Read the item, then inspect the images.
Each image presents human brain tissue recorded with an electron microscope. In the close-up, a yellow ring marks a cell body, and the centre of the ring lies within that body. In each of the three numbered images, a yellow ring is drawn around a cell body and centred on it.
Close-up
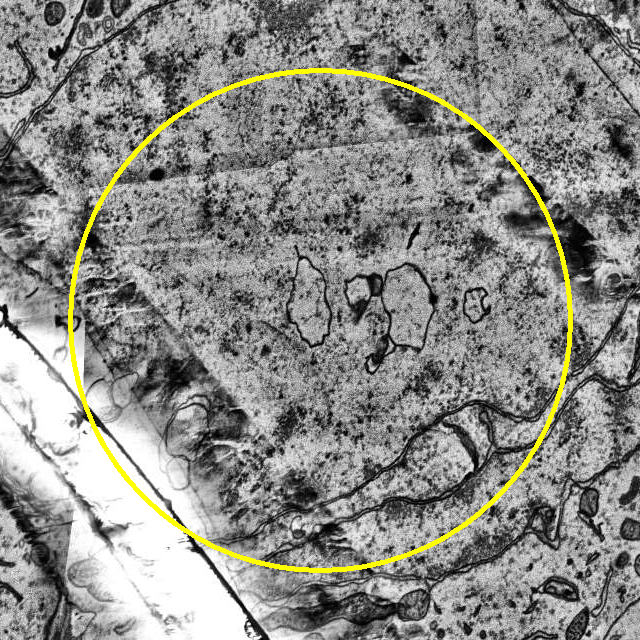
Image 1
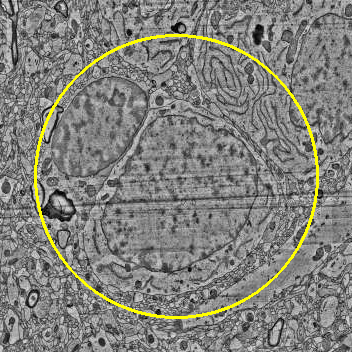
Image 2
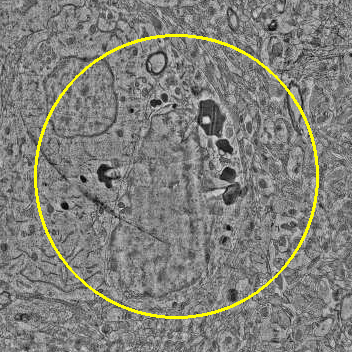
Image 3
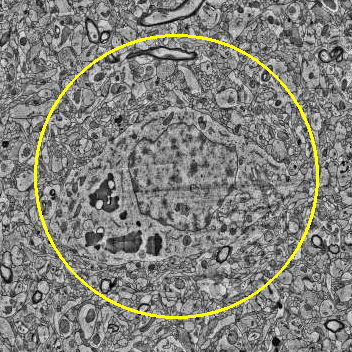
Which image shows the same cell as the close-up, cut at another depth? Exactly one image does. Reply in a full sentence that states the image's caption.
Shown in the close-up is the cell marked with a ring in Image 1.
